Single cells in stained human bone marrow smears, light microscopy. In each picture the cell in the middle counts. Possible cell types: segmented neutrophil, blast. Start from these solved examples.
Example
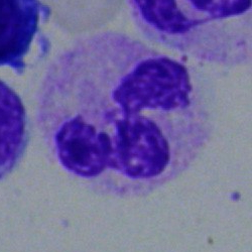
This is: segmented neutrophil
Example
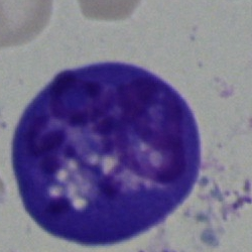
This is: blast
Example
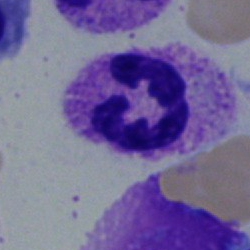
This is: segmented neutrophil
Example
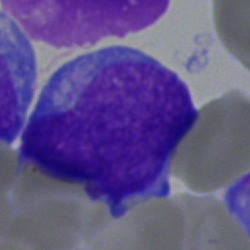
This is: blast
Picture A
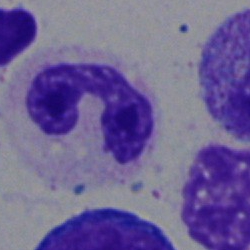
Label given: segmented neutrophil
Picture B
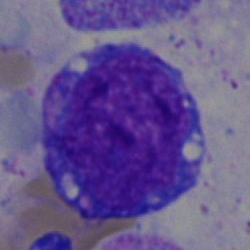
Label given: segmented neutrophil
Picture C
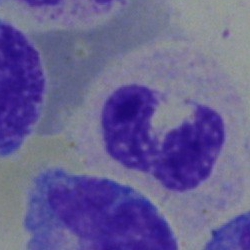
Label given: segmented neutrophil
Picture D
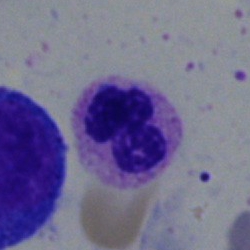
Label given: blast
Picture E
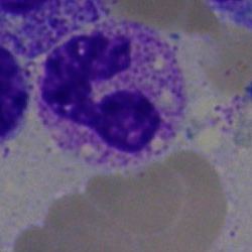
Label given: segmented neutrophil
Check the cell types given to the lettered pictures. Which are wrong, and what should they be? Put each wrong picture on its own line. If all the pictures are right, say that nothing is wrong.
B: change segmented neutrophil to blast
D: change blast to segmented neutrophil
